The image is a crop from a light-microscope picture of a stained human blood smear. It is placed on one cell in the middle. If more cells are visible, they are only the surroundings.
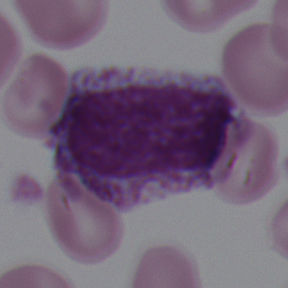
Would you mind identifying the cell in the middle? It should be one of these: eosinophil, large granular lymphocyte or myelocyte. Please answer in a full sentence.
The crop's centre is taken up by a myelocyte.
